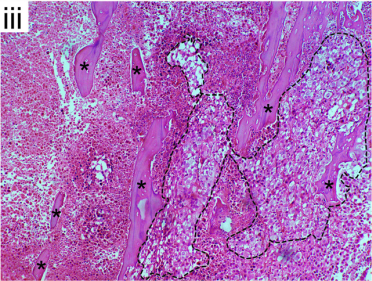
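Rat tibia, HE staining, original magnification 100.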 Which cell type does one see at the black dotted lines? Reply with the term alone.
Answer: cancer cells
